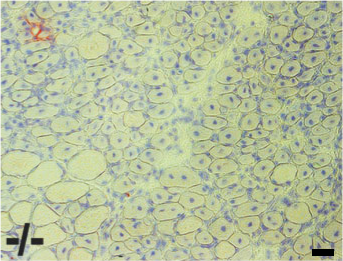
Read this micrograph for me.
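Cross-section of regenerating skeletal muscle made of tightly packed, small rounded fibres, many carrying central blue nuclei, beside a field of larger pale fibres. Almost no red staining lies between the fibres.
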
